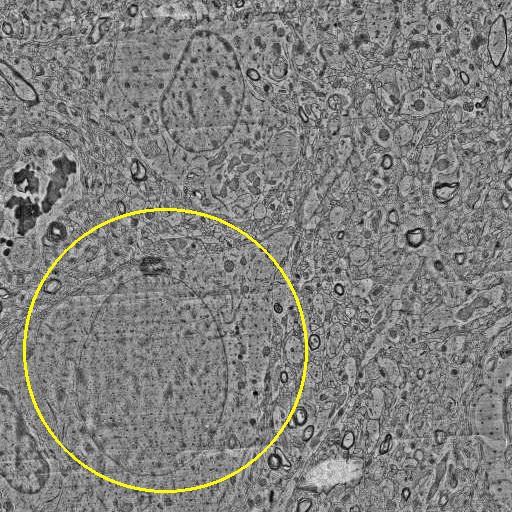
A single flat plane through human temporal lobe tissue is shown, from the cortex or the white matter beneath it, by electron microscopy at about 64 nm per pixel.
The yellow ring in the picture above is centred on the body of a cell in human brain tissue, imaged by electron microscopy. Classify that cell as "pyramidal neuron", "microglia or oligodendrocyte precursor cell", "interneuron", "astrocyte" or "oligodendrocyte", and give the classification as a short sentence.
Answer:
The cell in the middle of the ring is a pyramidal neuron.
